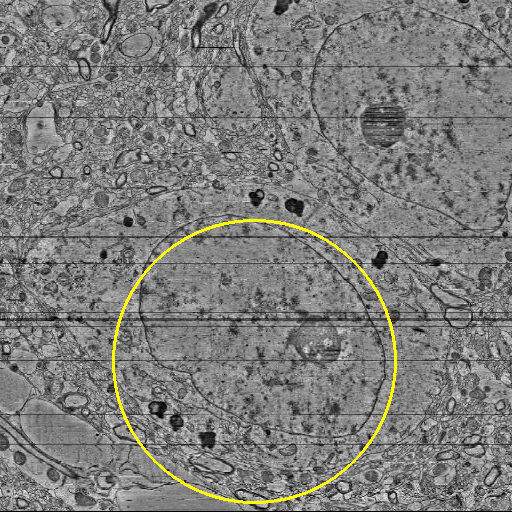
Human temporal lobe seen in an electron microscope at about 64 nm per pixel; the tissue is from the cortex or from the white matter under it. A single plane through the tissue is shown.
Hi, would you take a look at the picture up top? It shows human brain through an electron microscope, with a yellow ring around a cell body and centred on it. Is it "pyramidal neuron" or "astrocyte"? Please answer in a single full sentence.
The best fit for the cell in the middle of the ring is a pyramidal neuron, I reckon.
